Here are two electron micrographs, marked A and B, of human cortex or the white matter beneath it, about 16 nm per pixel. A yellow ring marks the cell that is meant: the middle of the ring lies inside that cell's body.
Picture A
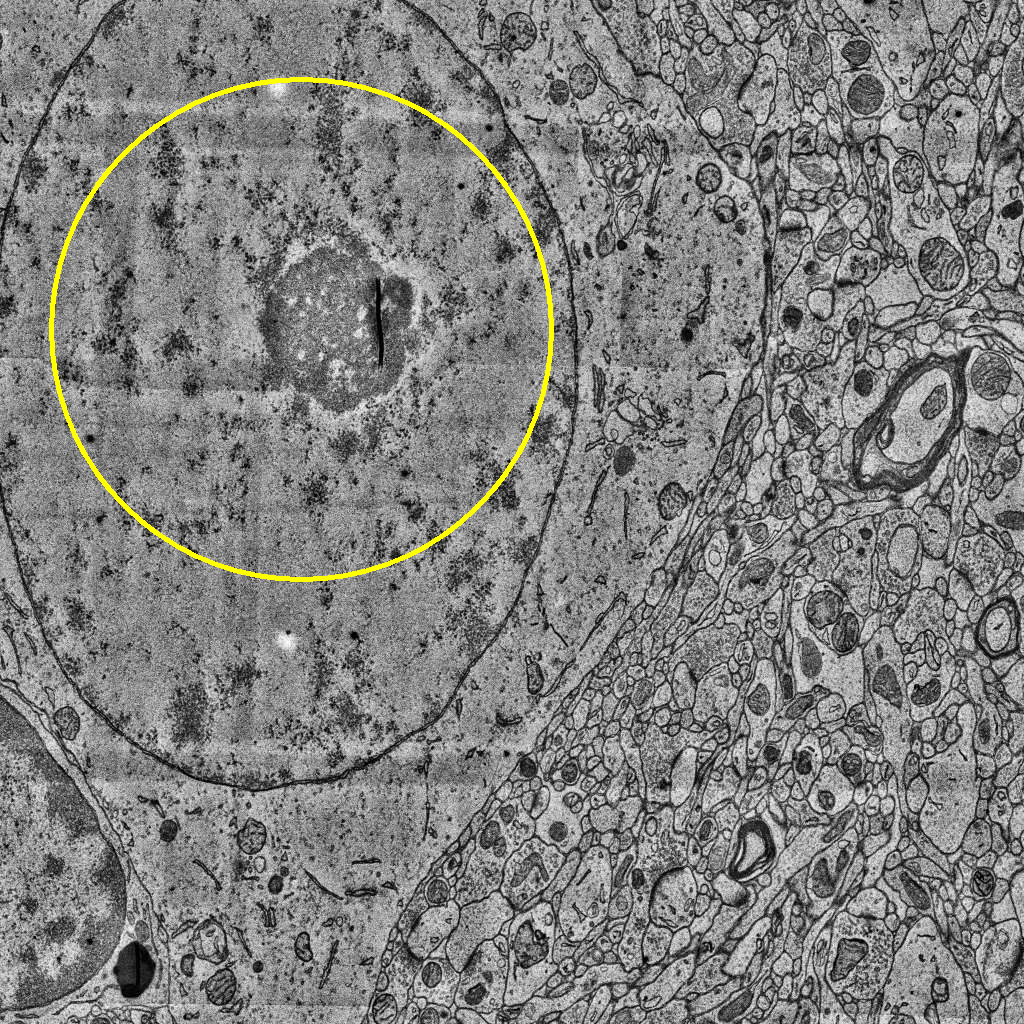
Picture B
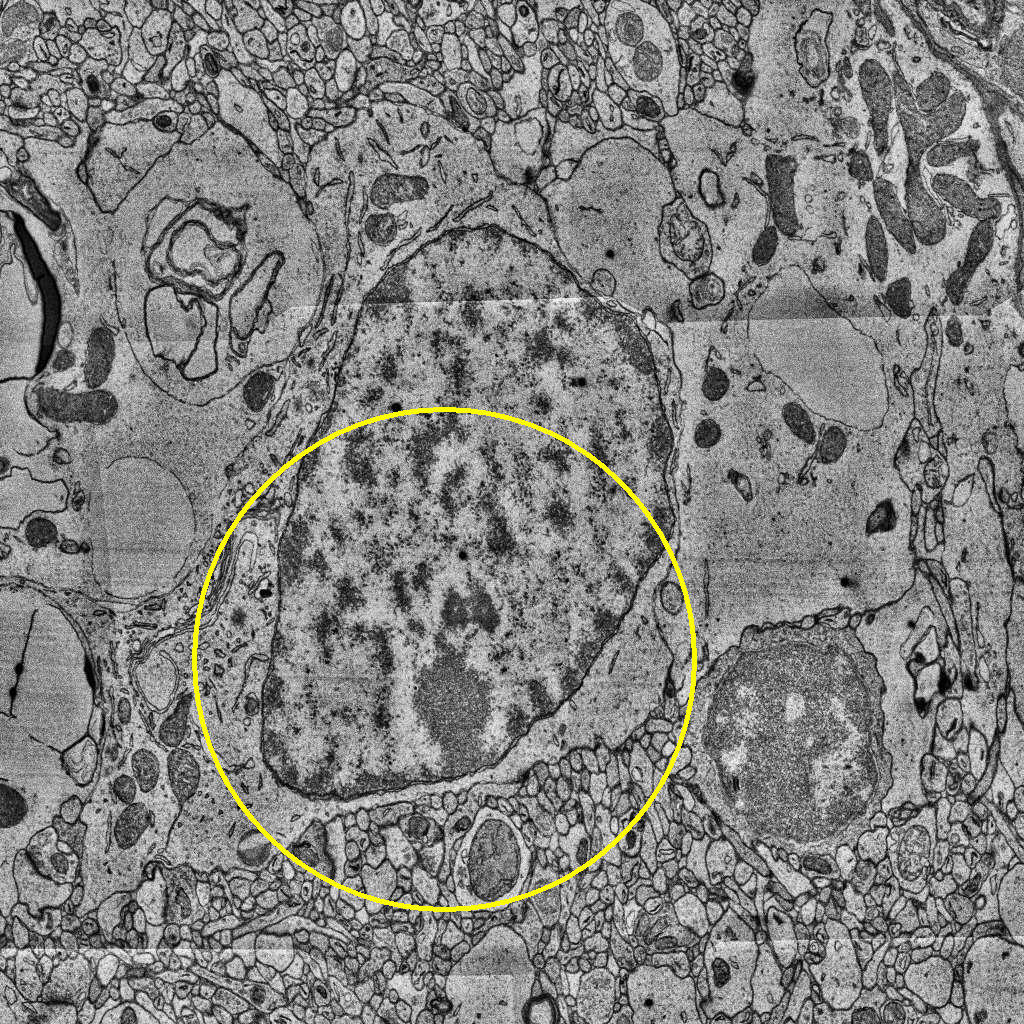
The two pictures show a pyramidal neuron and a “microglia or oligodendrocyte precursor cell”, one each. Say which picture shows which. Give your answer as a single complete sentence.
Picture A is of a pyramidal neuron, and picture B is of a “microglia or oligodendrocyte precursor cell”.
